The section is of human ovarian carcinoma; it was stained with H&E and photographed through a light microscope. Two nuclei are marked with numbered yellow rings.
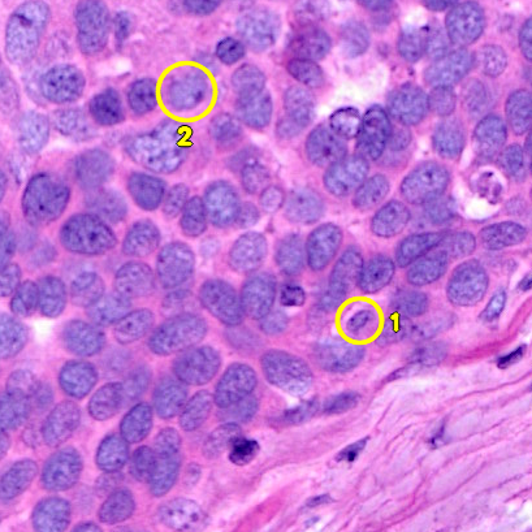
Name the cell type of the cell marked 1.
macrophage or monocyte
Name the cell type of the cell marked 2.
carcinoma cell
